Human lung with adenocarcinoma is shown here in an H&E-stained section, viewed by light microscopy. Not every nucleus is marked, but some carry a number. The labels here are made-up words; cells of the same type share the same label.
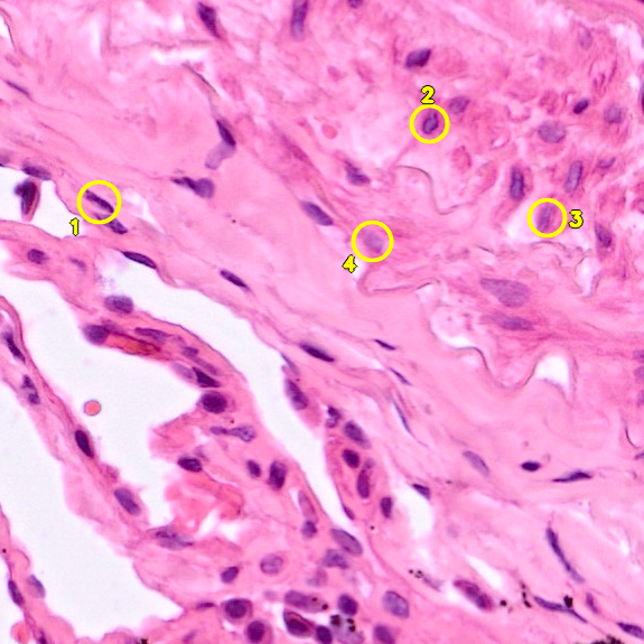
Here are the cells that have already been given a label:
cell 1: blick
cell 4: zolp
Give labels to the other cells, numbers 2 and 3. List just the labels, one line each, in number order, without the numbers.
zolp
zolp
